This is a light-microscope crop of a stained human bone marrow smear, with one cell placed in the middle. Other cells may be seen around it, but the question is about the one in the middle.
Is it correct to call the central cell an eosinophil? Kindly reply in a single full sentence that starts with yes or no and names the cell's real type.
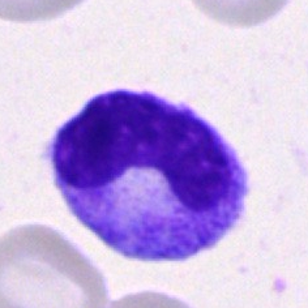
No, the centre cell is not an eosinophil but a band neutrophil.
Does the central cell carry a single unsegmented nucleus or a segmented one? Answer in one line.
The nucleus amounts to one compact mass with a round, oval or kidney-shaped outline.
